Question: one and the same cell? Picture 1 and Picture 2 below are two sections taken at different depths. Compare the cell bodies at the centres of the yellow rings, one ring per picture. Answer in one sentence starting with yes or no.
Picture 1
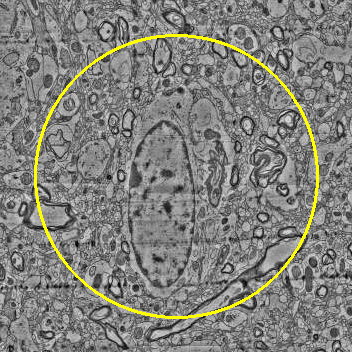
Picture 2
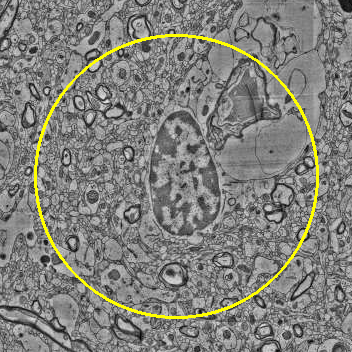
No, the yellow rings mark two cells that are not the same.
